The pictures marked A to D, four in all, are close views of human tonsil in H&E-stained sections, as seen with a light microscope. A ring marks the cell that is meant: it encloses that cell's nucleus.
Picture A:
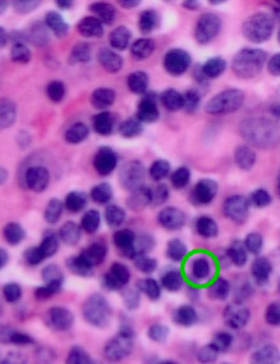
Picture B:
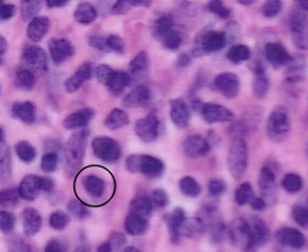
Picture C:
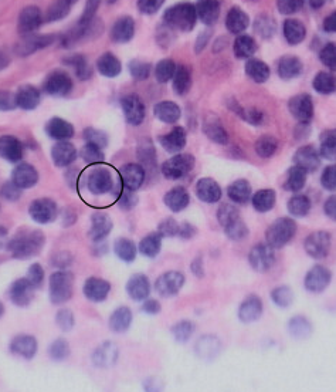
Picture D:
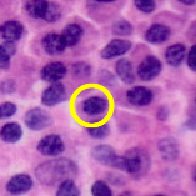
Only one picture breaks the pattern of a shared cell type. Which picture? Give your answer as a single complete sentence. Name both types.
Picture D is the odd one out: it shows a plasma cell, while the others show small lymphocytes.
